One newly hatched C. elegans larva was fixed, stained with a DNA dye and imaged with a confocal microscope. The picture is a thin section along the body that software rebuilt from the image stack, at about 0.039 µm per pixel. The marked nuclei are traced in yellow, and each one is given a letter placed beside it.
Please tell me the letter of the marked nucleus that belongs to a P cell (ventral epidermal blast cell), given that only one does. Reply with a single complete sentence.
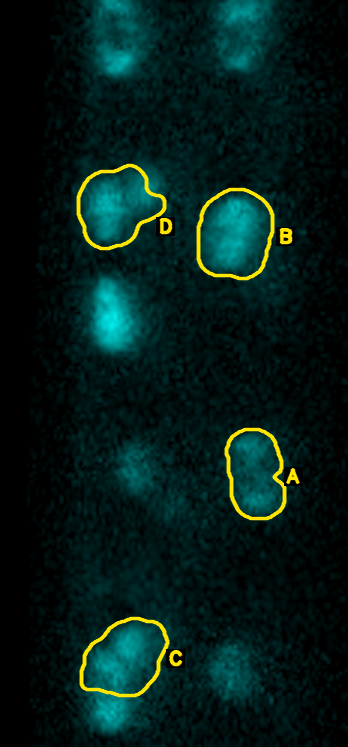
The nucleus of a P cell (ventral epidermal blast cell) is D.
